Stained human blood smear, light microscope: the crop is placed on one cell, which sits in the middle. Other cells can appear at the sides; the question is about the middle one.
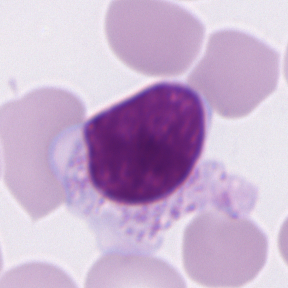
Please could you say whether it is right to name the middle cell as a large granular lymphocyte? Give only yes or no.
yes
